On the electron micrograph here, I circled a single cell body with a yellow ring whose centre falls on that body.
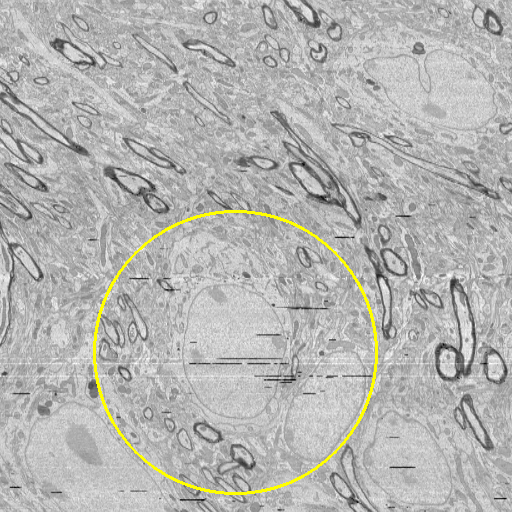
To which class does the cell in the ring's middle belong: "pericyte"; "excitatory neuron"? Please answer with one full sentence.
In this picture, the cell body circled at the ring's centre belongs to an excitatory neuron.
